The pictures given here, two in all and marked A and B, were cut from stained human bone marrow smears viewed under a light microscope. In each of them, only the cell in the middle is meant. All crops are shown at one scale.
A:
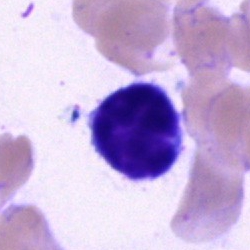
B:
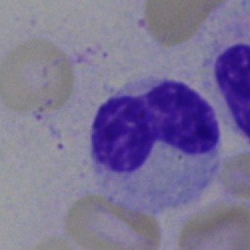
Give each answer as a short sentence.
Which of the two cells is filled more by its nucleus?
The nucleus fills more of the cell in crop A than in crop B.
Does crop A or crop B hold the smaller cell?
The cell in crop A is smaller; the one in crop B has about 2 times its area.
